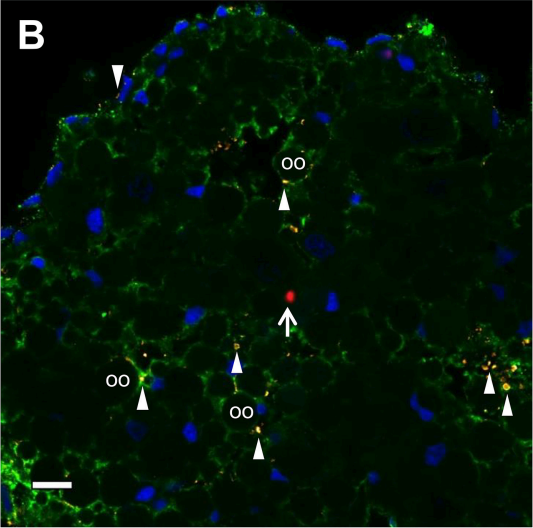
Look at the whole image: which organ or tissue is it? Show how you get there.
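Large rounded compartments outlined by green, many times wider than the nuclei. Few blue nuclei, mostly small and scattered between the large compartments.
Hence: ovary.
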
